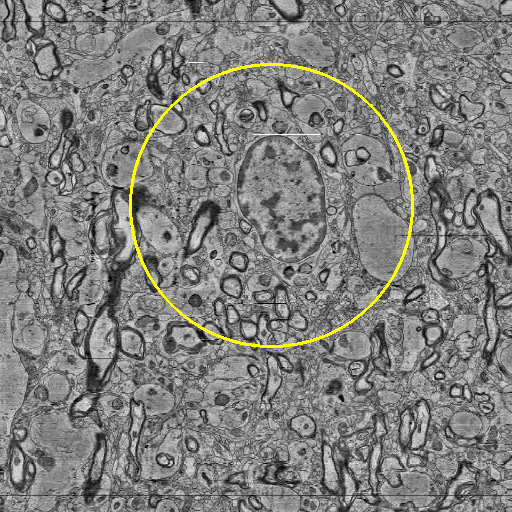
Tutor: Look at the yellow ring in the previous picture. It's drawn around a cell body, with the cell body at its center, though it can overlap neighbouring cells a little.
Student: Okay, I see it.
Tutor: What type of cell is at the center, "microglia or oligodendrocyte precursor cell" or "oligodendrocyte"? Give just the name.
microglia or oligodendrocyte precursor cell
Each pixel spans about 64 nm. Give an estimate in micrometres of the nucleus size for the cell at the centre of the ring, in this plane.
The ringed cell's nucleus is about 8 micrometres long and 6 micrometres wide in this plane.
